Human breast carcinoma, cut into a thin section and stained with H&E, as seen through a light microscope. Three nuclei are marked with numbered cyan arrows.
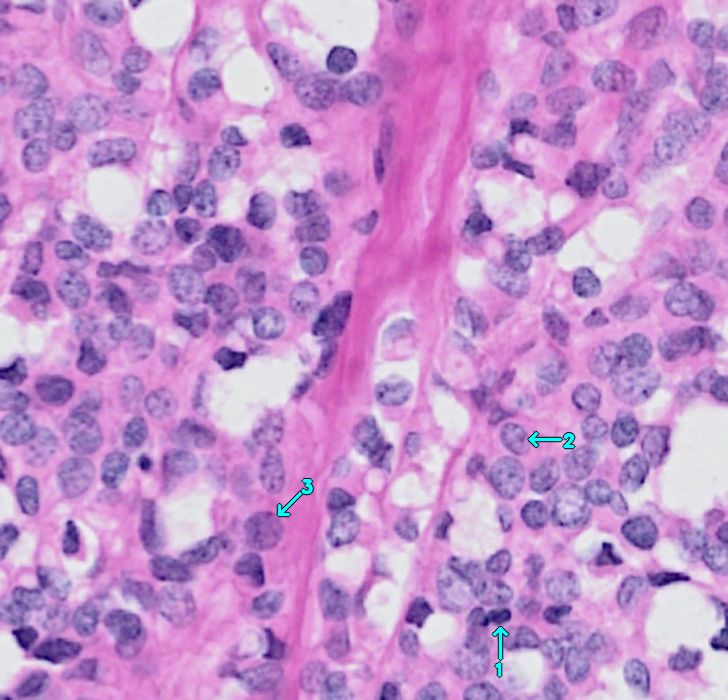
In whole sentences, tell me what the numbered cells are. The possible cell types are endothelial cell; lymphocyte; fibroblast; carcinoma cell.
Cell 1 is a lymphocyte, cell 2 is a carcinoma cell and cell 3 is a carcinoma cell.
